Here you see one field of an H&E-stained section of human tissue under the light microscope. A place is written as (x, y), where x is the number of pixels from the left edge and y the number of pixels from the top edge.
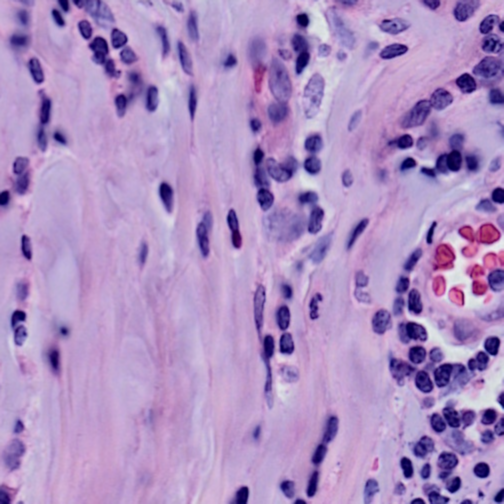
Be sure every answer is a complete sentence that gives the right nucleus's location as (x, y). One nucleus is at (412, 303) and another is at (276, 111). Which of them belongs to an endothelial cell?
The nucleus situated at (276, 111) is the one belonging to an endothelial cell.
